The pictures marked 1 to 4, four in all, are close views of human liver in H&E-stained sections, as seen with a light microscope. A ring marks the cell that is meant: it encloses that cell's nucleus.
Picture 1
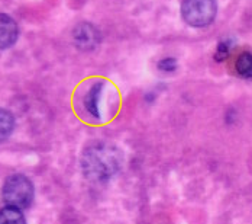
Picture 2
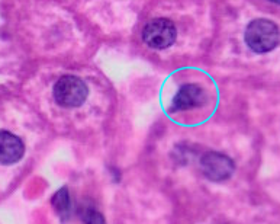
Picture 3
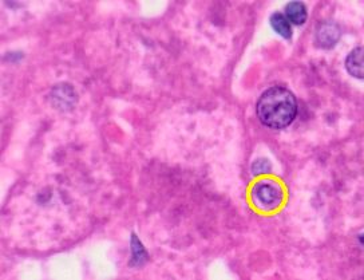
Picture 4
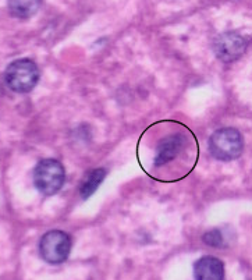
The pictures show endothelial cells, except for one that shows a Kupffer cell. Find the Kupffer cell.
3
